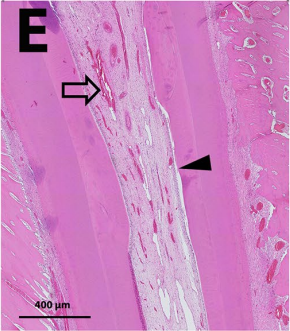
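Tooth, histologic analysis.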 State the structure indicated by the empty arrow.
Microvasculature.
